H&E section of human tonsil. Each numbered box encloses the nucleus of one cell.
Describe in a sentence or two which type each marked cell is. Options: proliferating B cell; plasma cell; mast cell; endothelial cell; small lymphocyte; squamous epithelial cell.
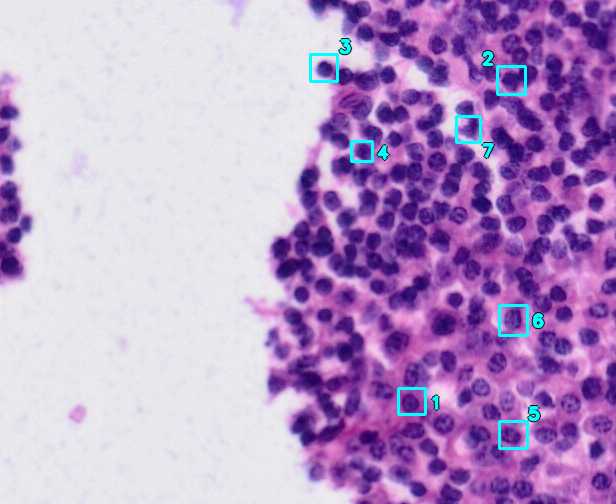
Cell 1 is a plasma cell, cell 2 is a small lymphocyte, cell 3 is a small lymphocyte, cell 4 is a small lymphocyte, cell 5 is a plasma cell, cell 6 is a plasma cell and cell 7 is a small lymphocyte.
